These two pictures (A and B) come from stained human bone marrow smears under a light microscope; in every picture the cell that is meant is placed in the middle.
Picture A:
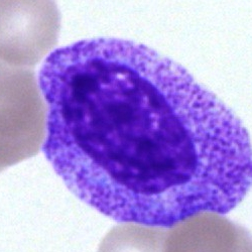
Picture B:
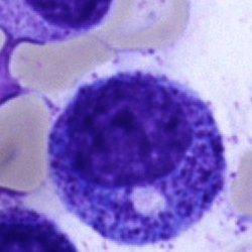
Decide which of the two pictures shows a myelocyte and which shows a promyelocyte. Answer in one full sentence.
The cell in picture A is a myelocyte, and the one in picture B is a promyelocyte.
